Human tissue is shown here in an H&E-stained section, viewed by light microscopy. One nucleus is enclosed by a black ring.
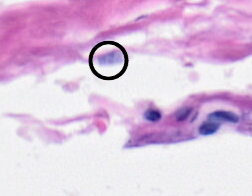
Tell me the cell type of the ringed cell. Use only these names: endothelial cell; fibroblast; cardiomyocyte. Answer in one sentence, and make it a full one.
Within this tissue, the ringed cell is a fibroblast.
